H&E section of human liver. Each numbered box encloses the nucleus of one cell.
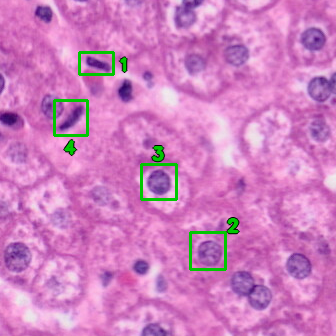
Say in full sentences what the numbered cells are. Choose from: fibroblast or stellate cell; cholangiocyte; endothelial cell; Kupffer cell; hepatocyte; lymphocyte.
Cell 1 is an endothelial cell. Cells 2 and 3 are hepatocytes. Cell 4 is a fibroblast or stellate cell.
